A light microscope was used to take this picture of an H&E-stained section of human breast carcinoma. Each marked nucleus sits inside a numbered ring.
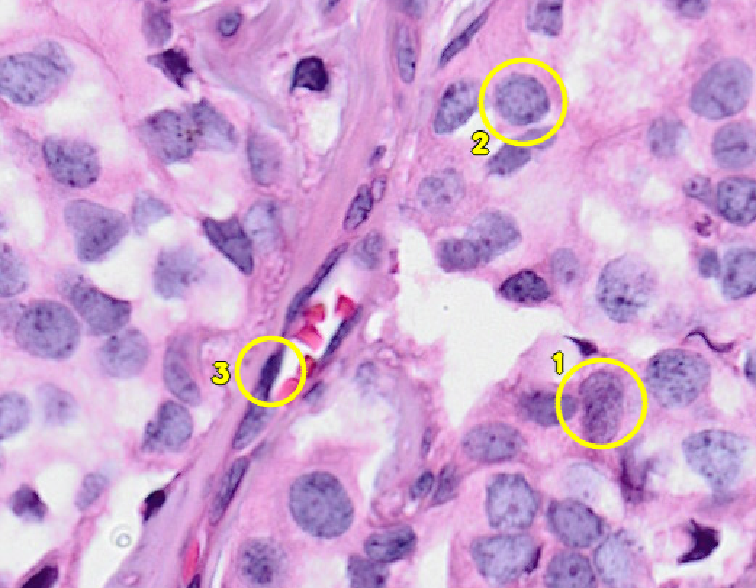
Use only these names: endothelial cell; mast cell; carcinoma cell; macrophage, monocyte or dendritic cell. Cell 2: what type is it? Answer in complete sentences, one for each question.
Here, the cell given the number 2 is a carcinoma cell.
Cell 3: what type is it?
Identified by the number 3, the cell is an endothelial cell.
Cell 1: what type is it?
The numbered cell 1 in this field is a carcinoma cell.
